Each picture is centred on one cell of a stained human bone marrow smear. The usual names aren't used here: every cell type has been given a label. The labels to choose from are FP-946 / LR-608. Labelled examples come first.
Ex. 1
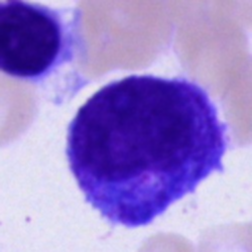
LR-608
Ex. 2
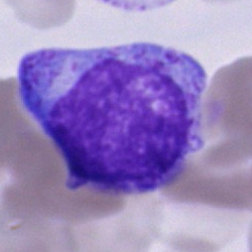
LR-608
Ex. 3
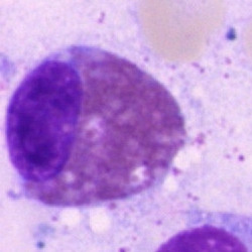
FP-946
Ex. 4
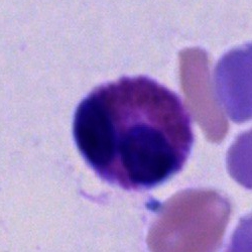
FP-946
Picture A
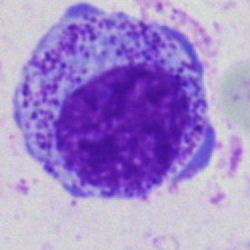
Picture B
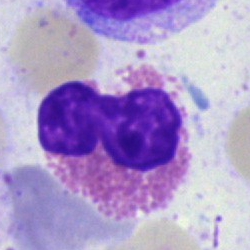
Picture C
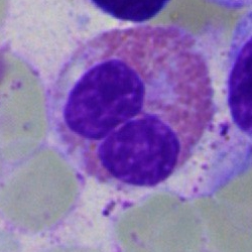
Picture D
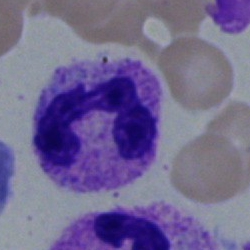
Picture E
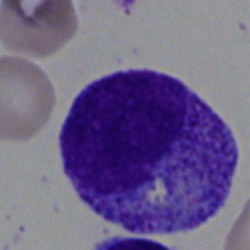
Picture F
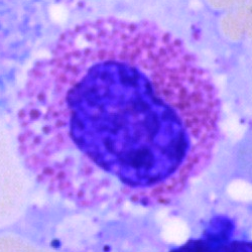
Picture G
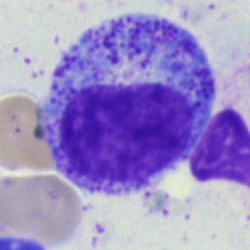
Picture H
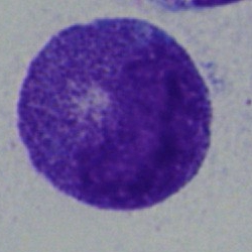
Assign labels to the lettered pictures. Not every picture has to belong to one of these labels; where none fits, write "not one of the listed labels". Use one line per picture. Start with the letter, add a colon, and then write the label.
A: LR-608
B: FP-946
C: FP-946
D: not one of the listed labels
E: LR-608
F: FP-946
G: LR-608
H: LR-608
